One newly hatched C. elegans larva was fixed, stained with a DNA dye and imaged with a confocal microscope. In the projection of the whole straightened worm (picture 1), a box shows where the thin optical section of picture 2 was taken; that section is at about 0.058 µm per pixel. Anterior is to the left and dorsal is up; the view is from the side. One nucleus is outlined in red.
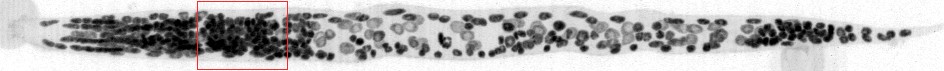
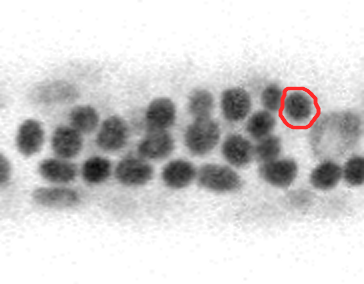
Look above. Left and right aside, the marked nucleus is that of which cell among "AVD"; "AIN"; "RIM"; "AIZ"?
AIN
